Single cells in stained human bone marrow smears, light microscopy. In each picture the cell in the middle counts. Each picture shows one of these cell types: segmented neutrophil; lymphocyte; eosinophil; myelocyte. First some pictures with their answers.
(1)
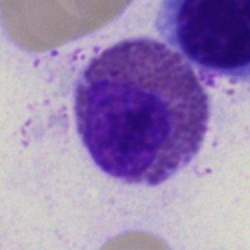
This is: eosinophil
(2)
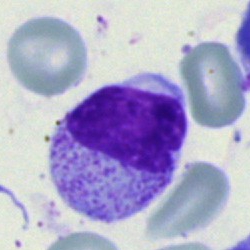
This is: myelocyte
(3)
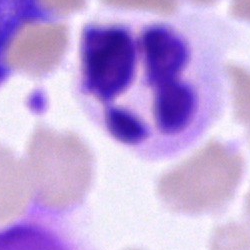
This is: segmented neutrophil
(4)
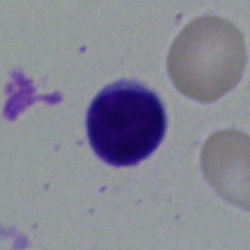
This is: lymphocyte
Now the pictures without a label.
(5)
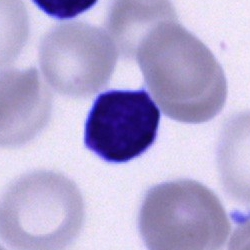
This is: lymphocyte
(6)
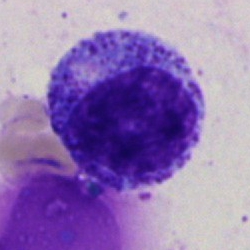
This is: myelocyte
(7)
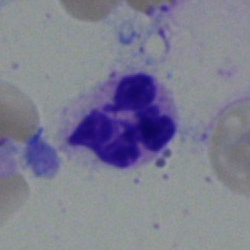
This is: segmented neutrophil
